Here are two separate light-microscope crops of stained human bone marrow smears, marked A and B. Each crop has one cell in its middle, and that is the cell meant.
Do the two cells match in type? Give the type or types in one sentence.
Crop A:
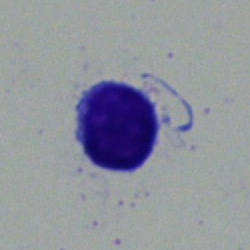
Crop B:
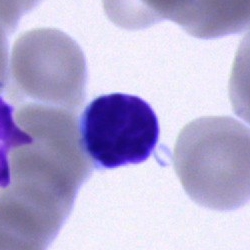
Yes, put down lymphocytes for both crops.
